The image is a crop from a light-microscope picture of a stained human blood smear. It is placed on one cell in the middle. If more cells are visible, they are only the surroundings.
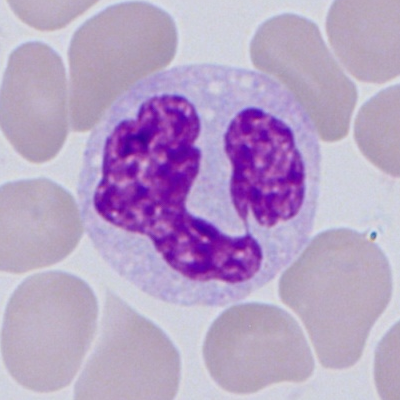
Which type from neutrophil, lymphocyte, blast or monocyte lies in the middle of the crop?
monocyte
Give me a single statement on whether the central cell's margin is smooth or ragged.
The border of this cell runs smooth and free of any projections.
